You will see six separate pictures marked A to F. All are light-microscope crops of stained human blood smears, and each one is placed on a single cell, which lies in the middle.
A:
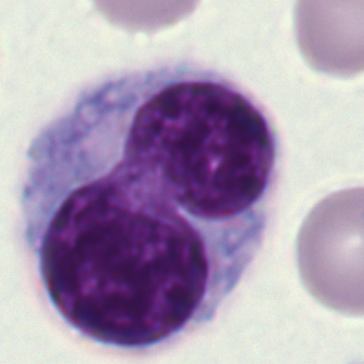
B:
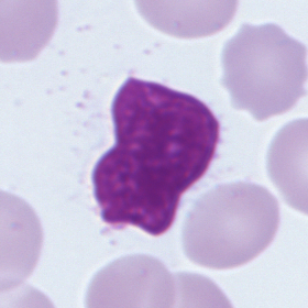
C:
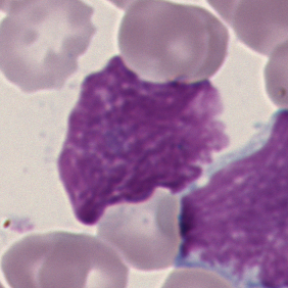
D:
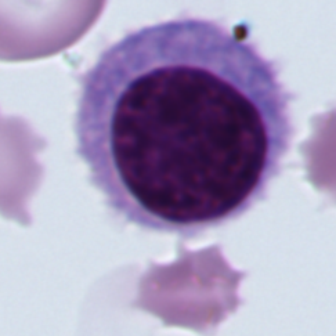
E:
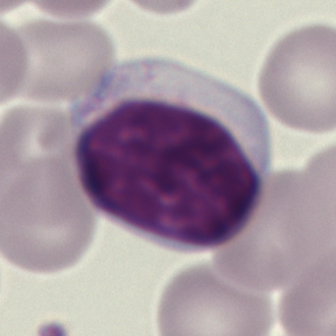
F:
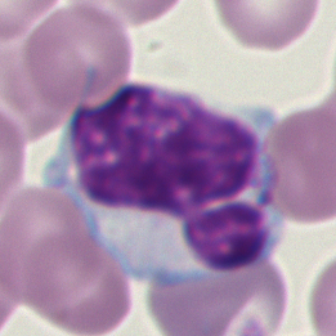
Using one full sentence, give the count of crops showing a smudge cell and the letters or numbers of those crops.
Here is the count: two crops show smudge cells, namely B and C.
